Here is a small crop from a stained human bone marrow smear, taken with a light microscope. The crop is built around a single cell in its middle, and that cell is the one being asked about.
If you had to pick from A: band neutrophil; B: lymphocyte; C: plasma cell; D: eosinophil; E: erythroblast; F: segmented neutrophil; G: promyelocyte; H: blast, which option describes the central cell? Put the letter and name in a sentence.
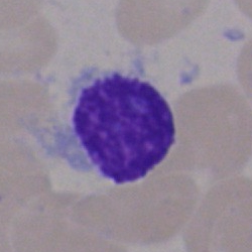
Option B holds up: the cell in the middle is a lymphocyte.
